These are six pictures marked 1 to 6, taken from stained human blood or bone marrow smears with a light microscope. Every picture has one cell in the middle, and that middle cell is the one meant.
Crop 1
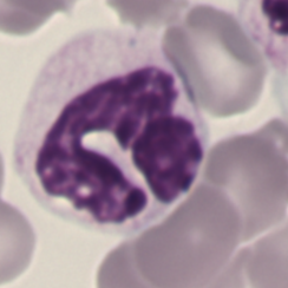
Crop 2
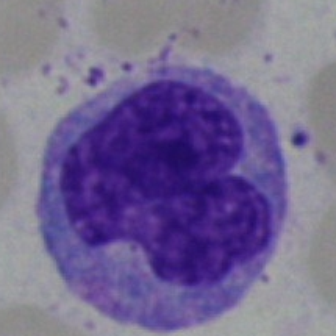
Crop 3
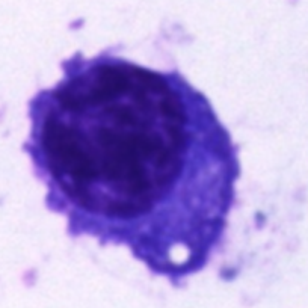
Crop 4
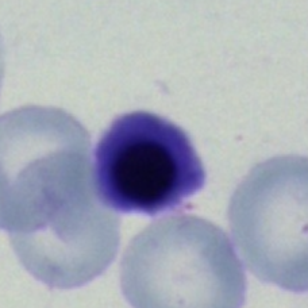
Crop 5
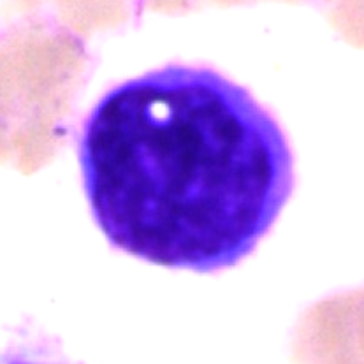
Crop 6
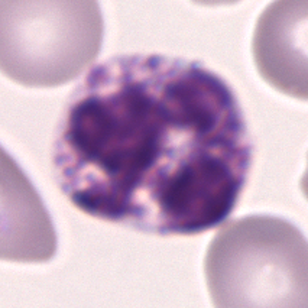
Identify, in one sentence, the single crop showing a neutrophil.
Of the labelled crops, the one that shows a neutrophil is crop 1.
